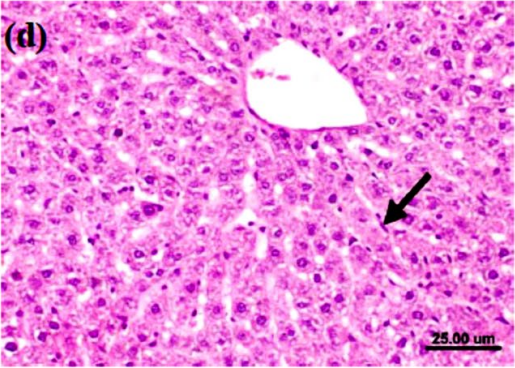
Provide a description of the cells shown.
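This is liver tissue with hepatocyte cords radiating from a large open vessel near the top. The hepatocytes are polygonal with pale pink cytoplasm and round purple nuclei, and between the cords run narrow pale sinusoids. Along these sinusoids lie a few small, dark, elongated nuclei, much smaller than the hepatocyte nuclei. These belong to Kupffer cells, the resident macrophages of the liver, and one is marked by the arrow. They appear somewhat prominent, while the general arrangement of the cords is kept.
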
